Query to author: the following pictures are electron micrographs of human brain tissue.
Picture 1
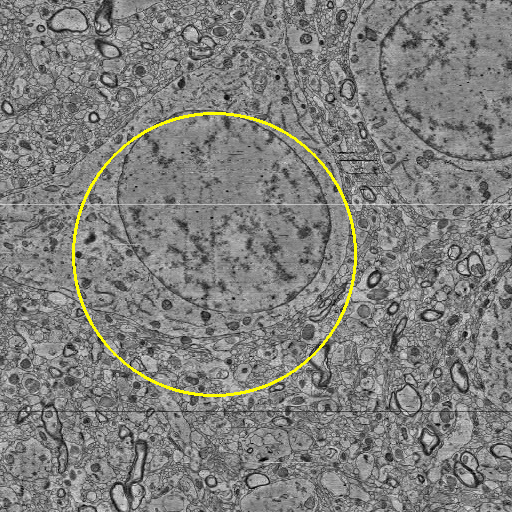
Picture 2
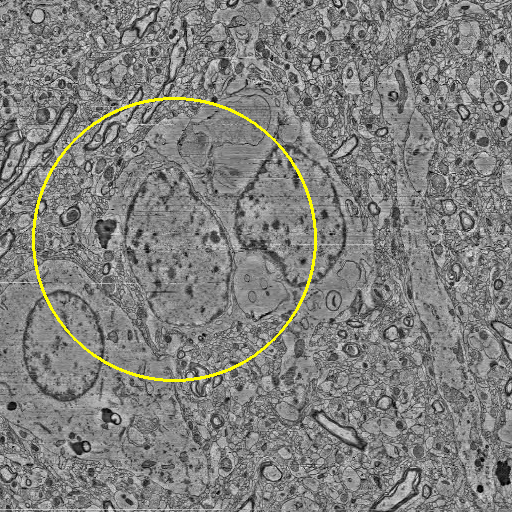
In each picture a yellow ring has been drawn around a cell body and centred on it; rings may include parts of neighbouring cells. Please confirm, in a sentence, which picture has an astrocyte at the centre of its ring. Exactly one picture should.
Picture 2 has it at the centre of its ring.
